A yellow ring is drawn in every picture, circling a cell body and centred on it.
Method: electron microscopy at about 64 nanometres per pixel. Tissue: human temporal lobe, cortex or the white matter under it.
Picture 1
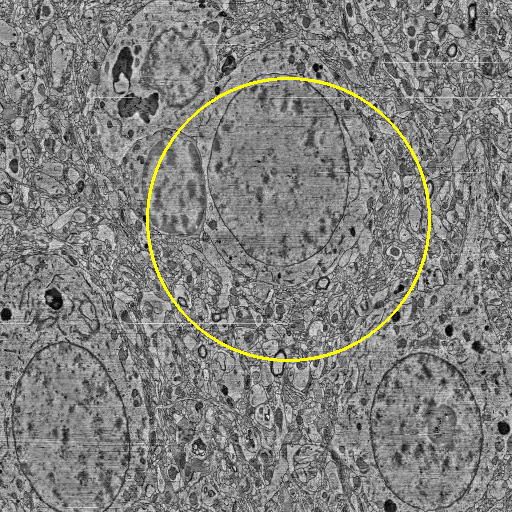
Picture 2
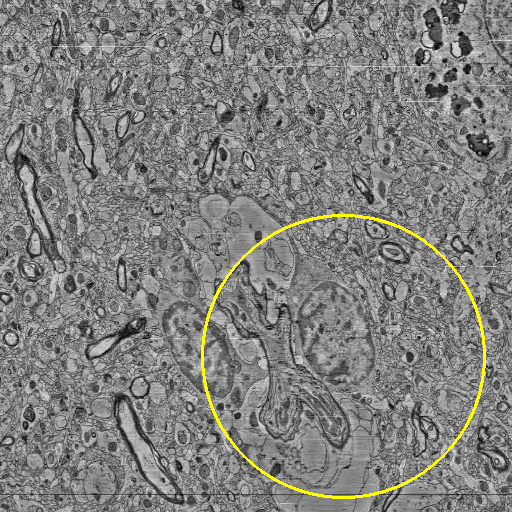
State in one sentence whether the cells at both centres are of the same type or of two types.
The cells at the two ring centres, one per picture, are of two types.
